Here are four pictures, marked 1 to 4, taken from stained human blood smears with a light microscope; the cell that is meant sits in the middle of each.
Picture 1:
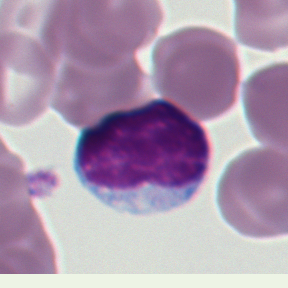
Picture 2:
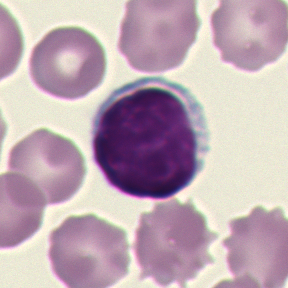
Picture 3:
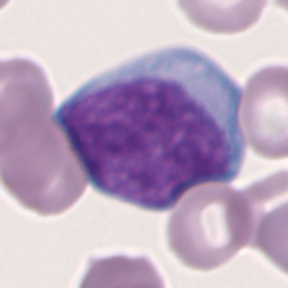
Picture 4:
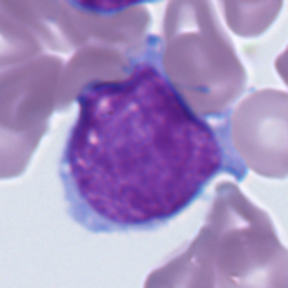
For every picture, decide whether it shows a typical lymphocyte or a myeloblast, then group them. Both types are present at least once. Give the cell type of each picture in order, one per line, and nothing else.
typical lymphocyte
typical lymphocyte
myeloblast
myeloblast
